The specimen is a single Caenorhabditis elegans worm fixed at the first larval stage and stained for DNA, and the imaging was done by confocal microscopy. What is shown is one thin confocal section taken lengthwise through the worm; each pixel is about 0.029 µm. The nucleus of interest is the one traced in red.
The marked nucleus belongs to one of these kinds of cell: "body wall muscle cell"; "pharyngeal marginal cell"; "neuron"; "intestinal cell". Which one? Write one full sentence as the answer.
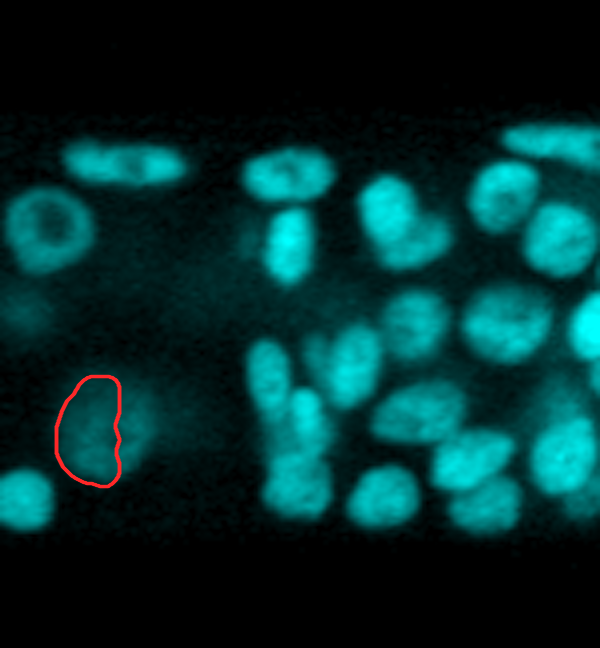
What is marked is the nucleus of an intestinal cell.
